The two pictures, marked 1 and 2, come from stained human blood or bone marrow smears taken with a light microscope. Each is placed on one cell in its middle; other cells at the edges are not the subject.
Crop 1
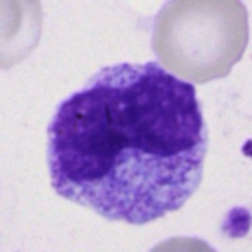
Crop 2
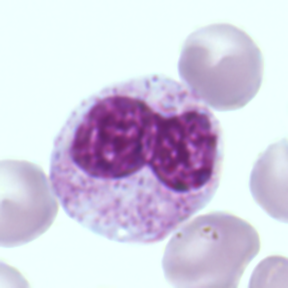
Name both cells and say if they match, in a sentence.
No, the labels go like this: crop 1 is a metamyelocyte and crop 2 is a band neutrophil.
